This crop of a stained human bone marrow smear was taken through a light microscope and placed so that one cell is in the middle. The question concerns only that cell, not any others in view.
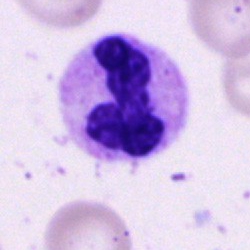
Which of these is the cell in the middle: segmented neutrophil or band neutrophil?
segmented neutrophil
